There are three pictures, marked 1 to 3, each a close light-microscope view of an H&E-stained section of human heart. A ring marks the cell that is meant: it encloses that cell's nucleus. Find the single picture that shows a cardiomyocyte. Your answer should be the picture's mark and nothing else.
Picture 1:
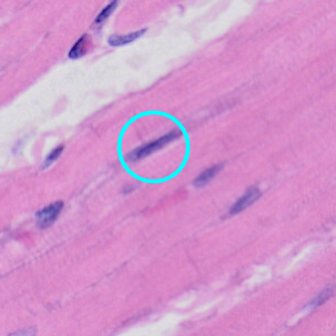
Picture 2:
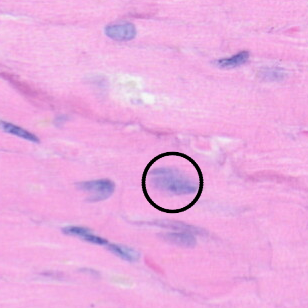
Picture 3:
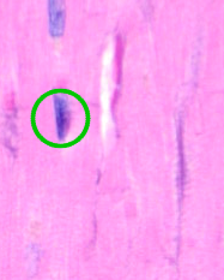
2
